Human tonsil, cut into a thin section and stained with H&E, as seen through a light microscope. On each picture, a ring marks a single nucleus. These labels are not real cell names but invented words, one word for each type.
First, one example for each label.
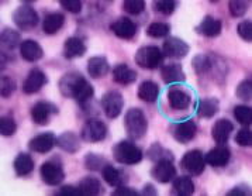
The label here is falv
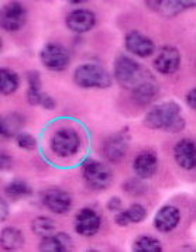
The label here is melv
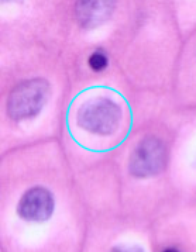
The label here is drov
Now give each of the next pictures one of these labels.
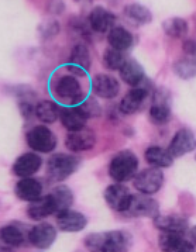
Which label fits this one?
falv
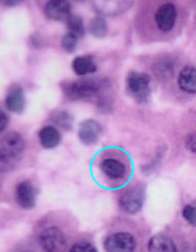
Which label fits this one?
melv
